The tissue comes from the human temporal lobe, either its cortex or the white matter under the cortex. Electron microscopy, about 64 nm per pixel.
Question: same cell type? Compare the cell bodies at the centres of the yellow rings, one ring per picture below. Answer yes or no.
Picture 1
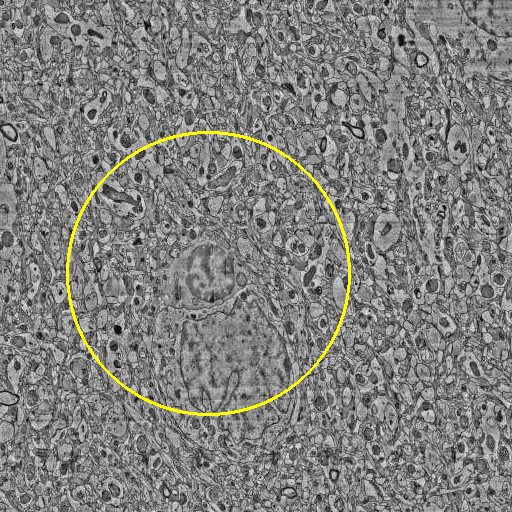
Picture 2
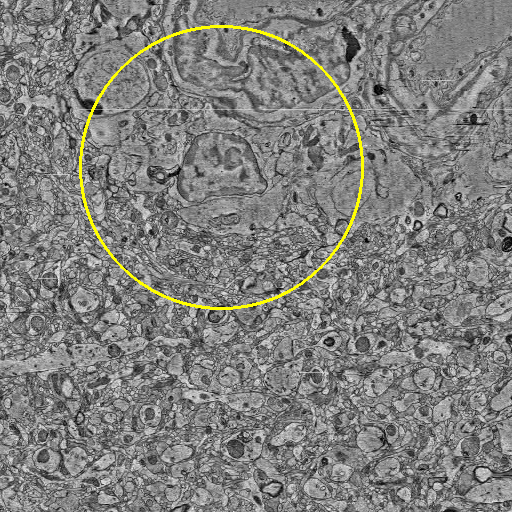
no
